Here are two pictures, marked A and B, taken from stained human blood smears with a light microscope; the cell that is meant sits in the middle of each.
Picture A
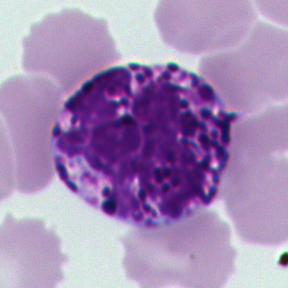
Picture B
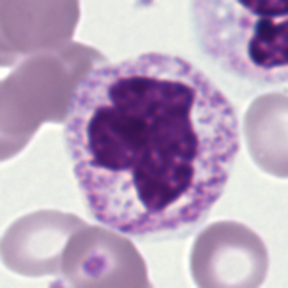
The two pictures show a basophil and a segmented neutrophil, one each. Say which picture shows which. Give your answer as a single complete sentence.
Picture A shows a basophil and picture B shows a segmented neutrophil.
